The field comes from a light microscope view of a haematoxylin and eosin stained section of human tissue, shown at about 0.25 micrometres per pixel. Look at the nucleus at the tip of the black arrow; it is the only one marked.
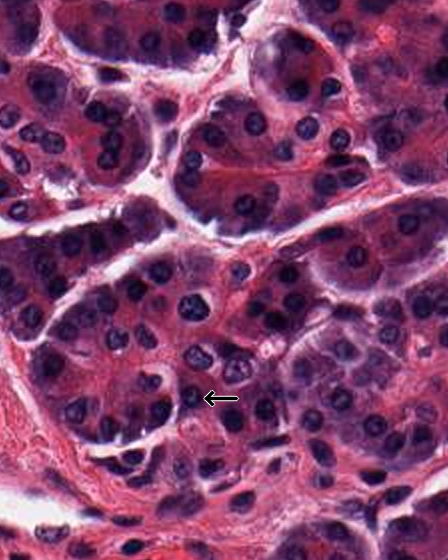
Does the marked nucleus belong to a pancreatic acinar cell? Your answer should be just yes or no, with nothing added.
yes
